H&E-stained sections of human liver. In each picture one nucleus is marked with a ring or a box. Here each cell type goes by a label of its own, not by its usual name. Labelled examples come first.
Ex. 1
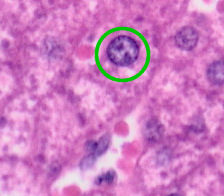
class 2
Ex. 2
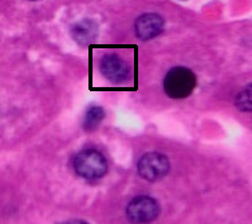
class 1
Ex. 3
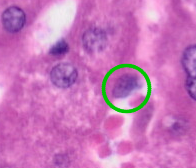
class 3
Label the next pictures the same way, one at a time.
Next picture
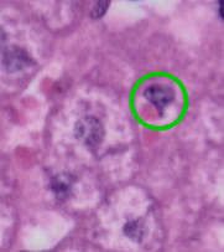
class 3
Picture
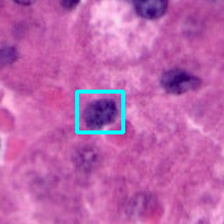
class 1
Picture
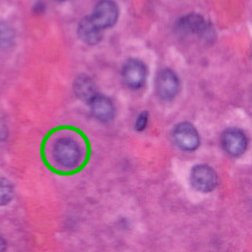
class 2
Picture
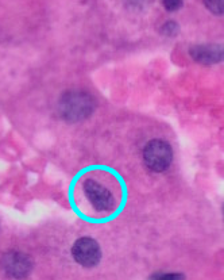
class 1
